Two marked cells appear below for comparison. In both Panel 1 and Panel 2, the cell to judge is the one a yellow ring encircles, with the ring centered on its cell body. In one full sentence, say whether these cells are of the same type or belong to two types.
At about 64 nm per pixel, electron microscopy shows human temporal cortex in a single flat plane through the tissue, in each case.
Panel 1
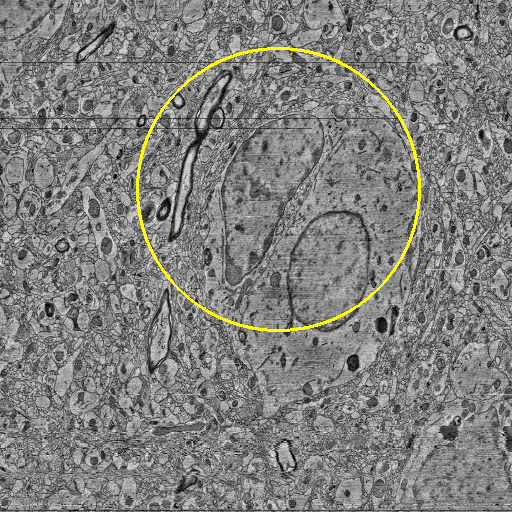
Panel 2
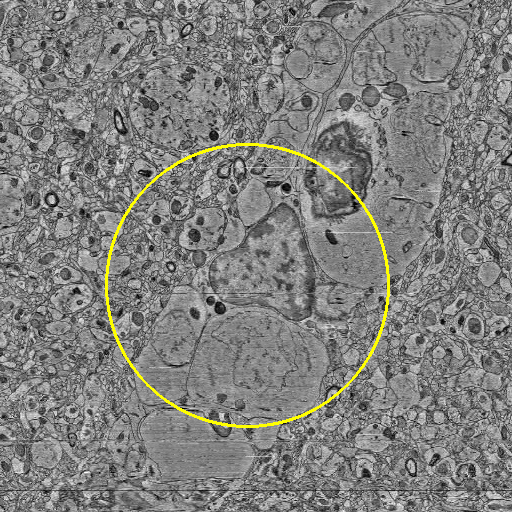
The cell centered in the Panel 1 ring and the one in Panel 2 are of the same type.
